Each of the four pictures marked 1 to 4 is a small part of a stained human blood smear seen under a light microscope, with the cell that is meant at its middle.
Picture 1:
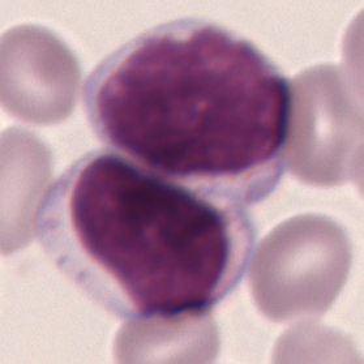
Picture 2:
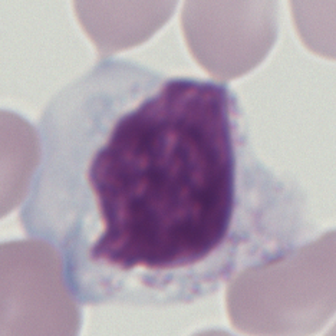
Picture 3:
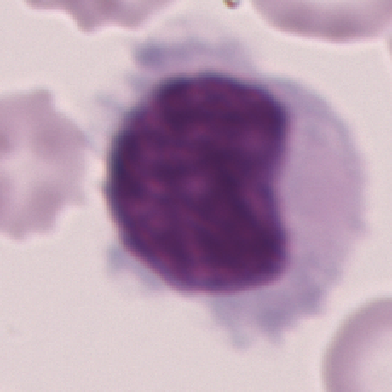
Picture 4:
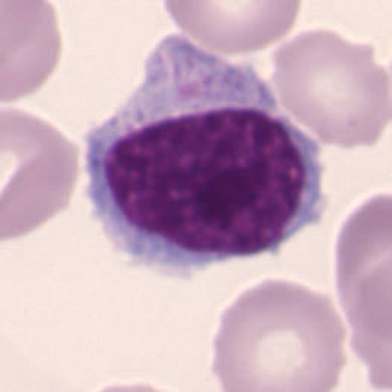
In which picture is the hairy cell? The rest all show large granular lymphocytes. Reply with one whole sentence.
The picture with the hairy cell is 3.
